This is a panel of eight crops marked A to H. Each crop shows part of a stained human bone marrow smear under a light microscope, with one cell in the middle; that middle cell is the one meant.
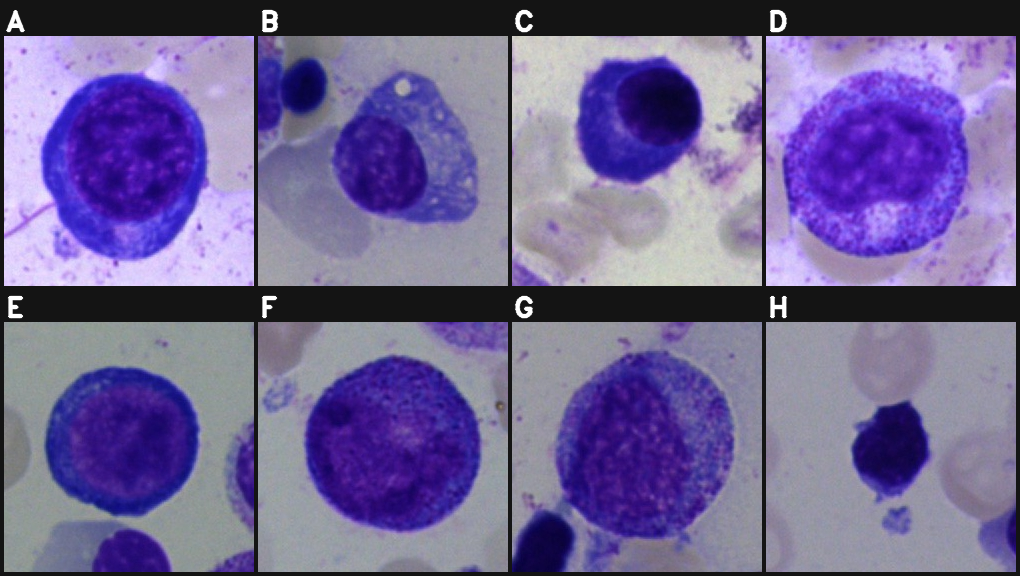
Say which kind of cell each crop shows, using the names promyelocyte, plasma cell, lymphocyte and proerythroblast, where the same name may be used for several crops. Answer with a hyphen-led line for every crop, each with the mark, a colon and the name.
- A: proerythroblast
- B: plasma cell
- C: plasma cell
- D: promyelocyte
- E: proerythroblast
- F: promyelocyte
- G: promyelocyte
- H: lymphocyte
